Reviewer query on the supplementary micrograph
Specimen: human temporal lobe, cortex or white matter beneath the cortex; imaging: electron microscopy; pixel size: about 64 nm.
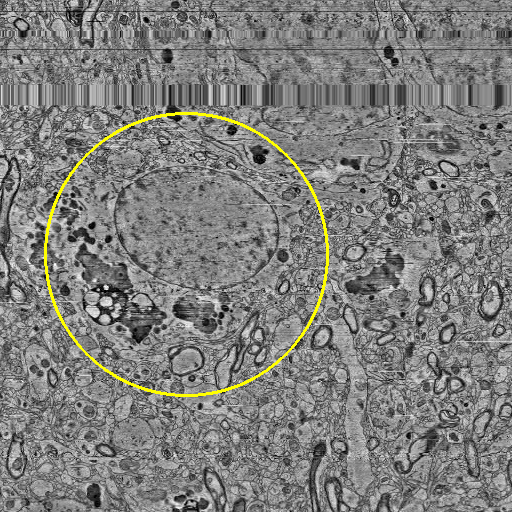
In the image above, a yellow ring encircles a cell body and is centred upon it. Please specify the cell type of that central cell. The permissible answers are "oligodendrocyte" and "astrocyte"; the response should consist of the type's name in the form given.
astrocyte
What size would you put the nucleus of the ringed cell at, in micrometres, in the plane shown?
The nucleus appears roughly 11 by 8 micrometres in this plane.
